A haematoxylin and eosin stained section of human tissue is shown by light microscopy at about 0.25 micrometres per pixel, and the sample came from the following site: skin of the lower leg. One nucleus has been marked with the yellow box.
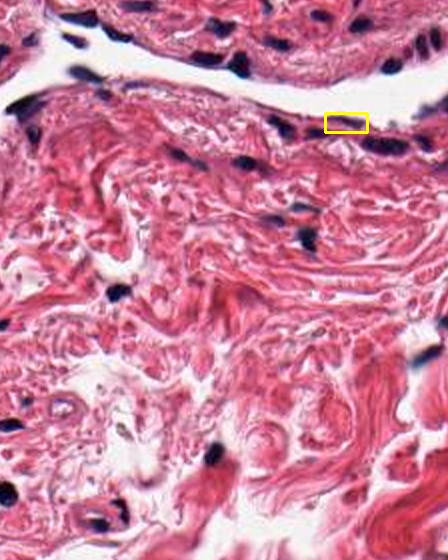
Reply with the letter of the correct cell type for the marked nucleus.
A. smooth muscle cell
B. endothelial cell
B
